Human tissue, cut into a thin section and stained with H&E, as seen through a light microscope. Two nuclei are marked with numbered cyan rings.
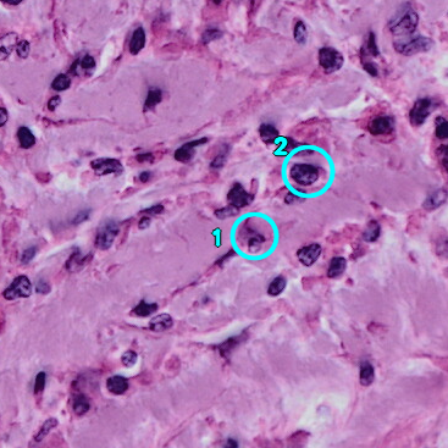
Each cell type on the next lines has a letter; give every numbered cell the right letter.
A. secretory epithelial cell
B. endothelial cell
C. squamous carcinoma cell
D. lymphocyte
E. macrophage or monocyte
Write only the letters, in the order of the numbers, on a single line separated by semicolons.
E; D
